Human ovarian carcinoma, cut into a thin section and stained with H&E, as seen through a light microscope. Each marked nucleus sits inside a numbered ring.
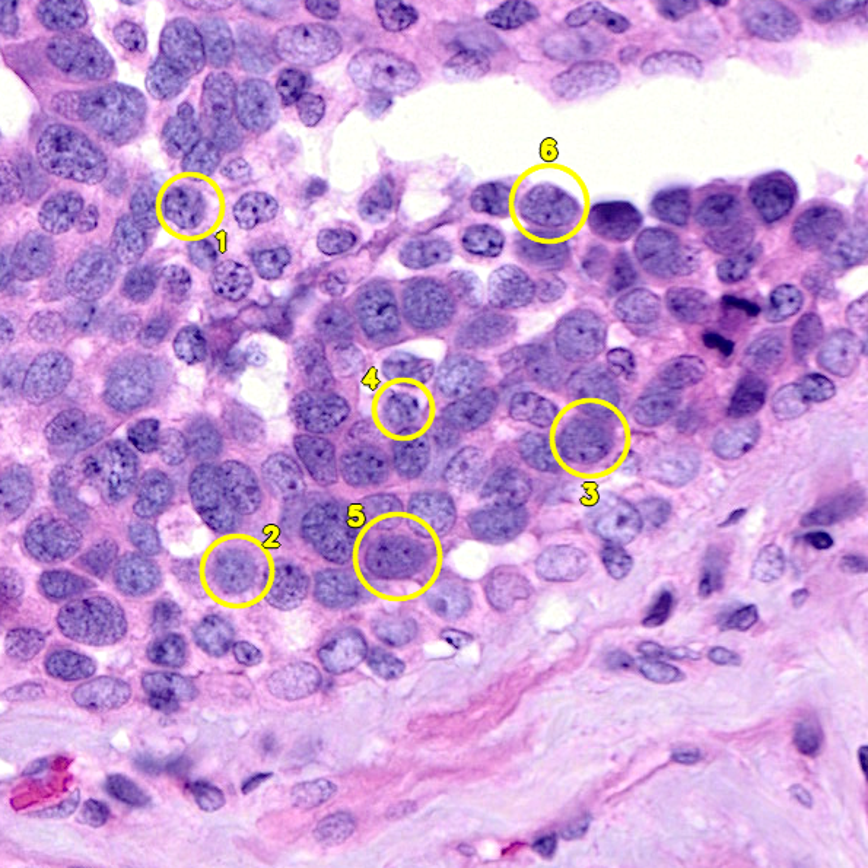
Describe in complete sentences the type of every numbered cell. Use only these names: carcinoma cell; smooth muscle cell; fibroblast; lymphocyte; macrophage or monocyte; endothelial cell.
Cells 1 and 4 are macrophages or monocytes. Cells 2, 3, 5 and 6 are carcinoma cells.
